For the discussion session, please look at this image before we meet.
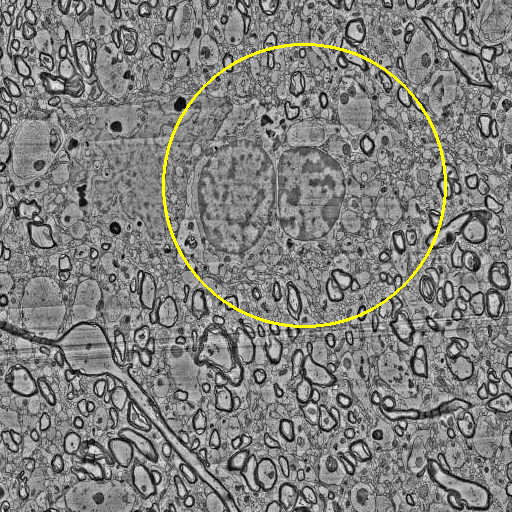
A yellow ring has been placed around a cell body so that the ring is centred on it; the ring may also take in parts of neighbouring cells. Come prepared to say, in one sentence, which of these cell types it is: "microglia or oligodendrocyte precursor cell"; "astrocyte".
The cell centred in the ring is a microglial cell or oligodendrocyte precursor cell.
